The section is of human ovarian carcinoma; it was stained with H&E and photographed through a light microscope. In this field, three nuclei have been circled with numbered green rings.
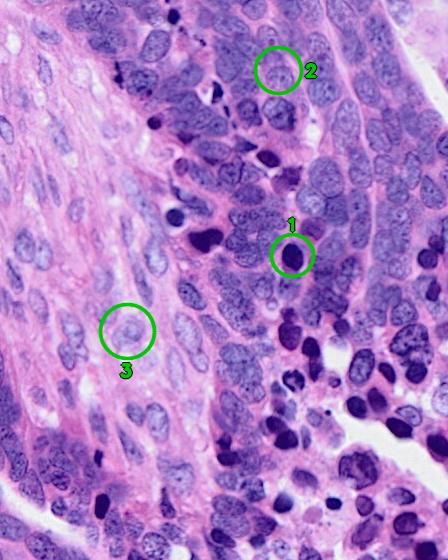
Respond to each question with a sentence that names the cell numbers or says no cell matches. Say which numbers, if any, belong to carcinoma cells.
The cells bearing the numbers 1 and 2 are carcinoma cells.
